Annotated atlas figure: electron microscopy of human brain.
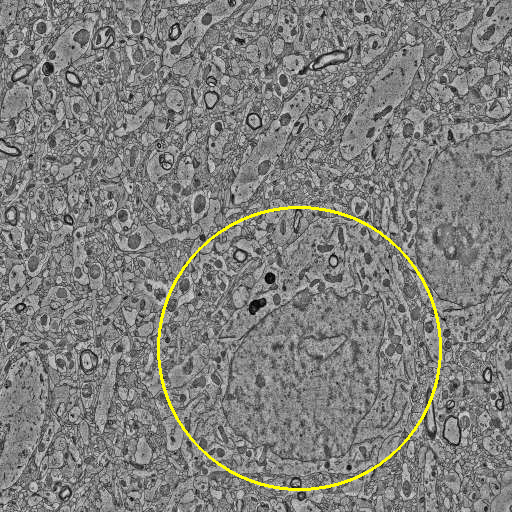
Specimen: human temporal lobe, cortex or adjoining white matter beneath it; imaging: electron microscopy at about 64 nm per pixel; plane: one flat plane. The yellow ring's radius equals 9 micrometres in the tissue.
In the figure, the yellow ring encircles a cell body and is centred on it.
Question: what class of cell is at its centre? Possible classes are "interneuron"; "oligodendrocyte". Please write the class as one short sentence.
The yellow ring is drawn around an interneuron.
